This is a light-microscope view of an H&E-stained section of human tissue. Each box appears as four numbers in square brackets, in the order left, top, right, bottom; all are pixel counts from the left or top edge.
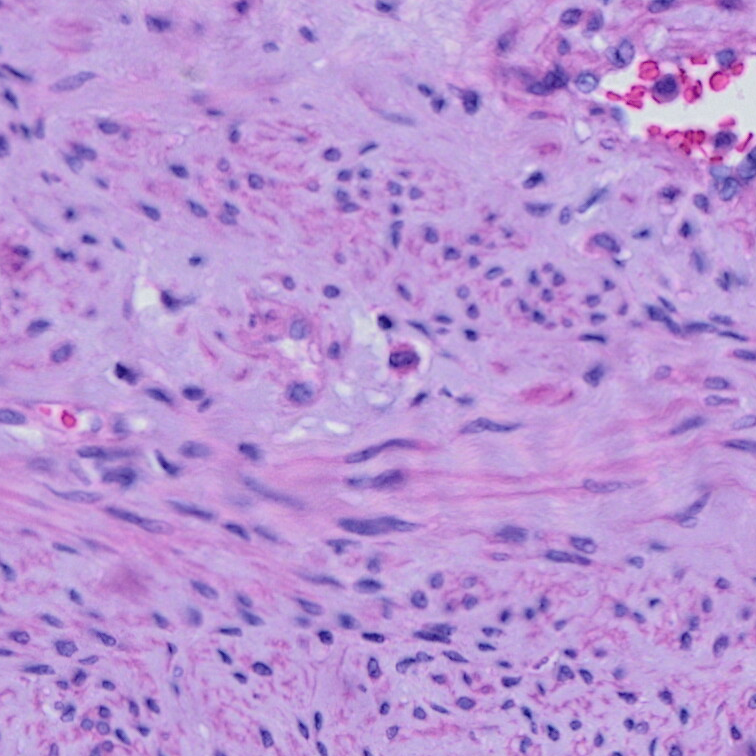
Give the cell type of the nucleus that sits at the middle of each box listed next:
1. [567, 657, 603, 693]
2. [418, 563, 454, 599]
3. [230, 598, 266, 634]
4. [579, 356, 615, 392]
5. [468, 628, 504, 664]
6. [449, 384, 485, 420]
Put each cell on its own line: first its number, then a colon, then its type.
1: smooth muscle cell
2: smooth muscle cell
3: smooth muscle cell
4: fibroblast
5: fibroblast
6: fibroblast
